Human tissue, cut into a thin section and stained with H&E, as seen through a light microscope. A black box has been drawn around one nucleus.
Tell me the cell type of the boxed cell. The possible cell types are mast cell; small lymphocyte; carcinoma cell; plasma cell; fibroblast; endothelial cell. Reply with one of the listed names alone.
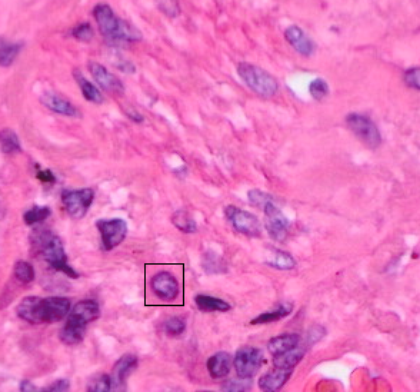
mast cell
